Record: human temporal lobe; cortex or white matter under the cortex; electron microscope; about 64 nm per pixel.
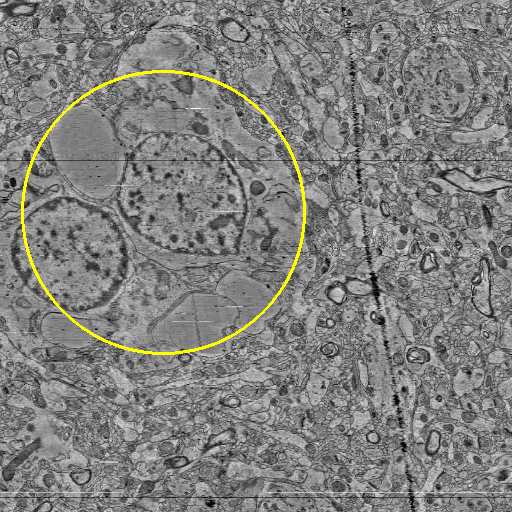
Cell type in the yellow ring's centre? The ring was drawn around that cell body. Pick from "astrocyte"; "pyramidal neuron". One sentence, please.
The ringed cell body is that of an astrocyte.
